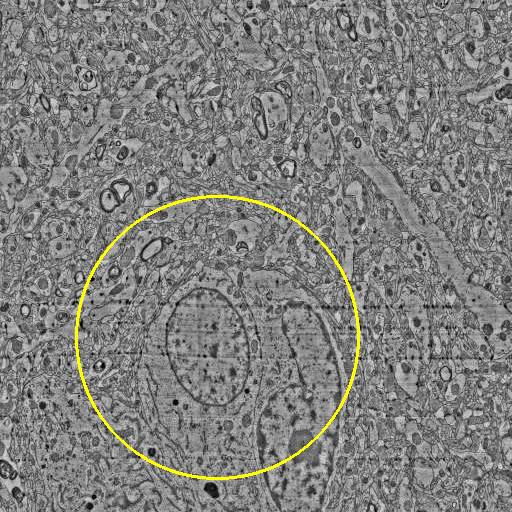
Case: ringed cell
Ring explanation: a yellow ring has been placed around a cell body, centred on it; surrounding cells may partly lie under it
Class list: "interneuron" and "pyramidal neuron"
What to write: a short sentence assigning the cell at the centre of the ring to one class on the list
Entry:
The cell at the ring's centre is a pyramidal neuron.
